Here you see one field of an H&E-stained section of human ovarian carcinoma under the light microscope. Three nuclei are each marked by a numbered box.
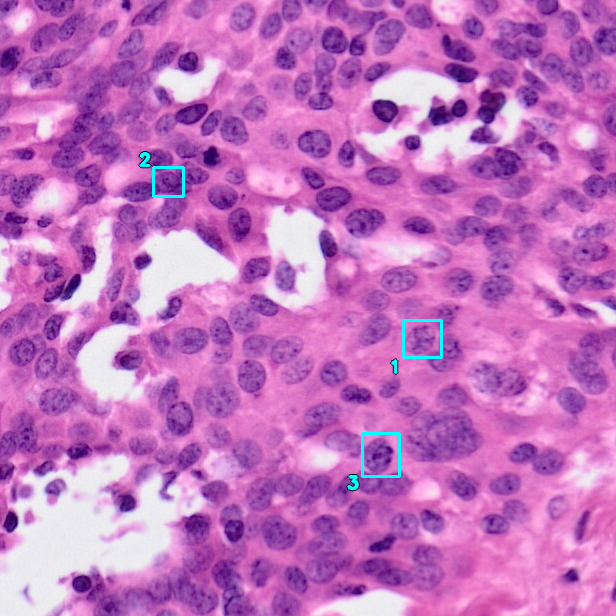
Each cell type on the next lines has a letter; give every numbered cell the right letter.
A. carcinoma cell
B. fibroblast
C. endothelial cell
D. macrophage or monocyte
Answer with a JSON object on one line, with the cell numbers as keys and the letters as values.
{"1": "A", "2": "A", "3": "D"}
